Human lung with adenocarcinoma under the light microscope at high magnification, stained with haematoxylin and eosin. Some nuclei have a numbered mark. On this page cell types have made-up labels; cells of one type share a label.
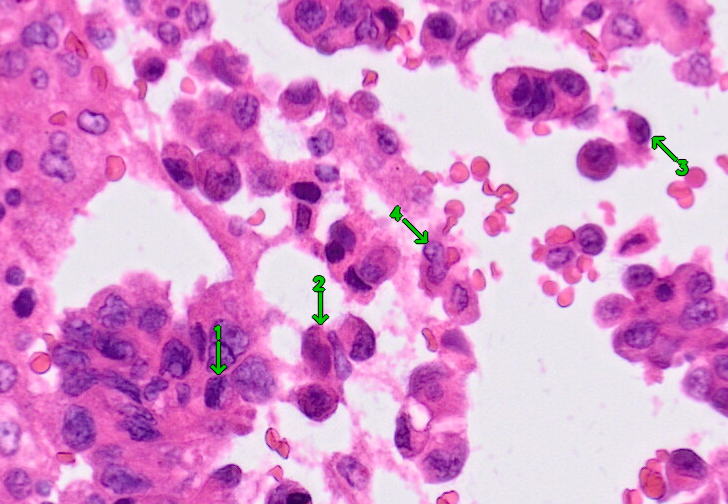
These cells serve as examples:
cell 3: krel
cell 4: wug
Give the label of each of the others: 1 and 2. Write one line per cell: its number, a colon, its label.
1: krel
2: krel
